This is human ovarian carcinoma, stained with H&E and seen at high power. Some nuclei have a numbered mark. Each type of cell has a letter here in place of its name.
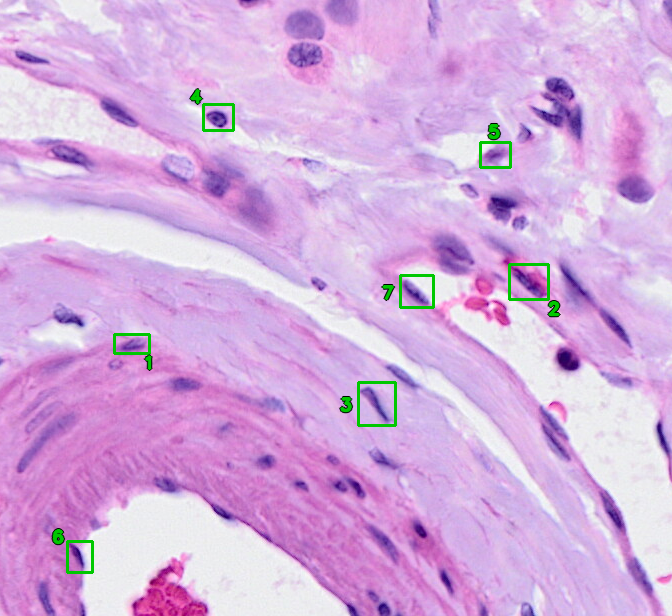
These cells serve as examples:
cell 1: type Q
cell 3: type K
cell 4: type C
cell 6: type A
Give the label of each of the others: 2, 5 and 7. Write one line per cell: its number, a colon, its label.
2: type A
5: type K
7: type A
